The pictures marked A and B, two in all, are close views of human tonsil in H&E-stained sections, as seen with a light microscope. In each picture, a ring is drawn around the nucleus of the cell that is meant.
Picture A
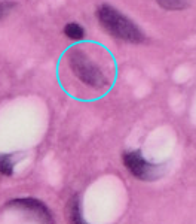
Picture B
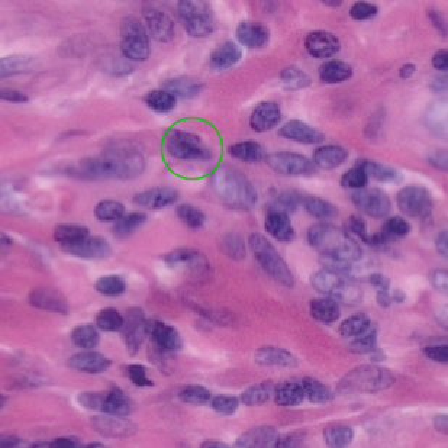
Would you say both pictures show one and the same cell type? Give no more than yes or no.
no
